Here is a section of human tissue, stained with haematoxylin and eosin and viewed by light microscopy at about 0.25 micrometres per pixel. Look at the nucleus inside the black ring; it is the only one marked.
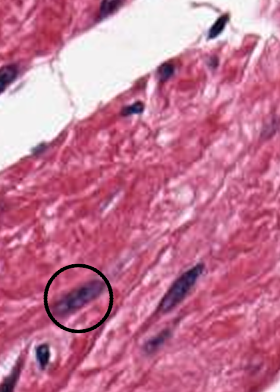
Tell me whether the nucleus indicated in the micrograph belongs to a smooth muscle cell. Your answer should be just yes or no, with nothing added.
yes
